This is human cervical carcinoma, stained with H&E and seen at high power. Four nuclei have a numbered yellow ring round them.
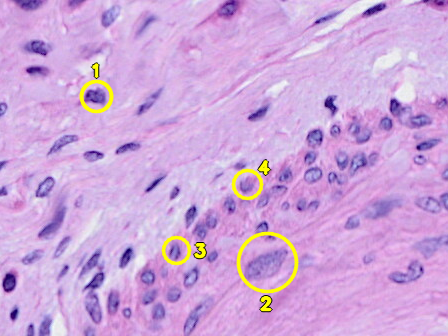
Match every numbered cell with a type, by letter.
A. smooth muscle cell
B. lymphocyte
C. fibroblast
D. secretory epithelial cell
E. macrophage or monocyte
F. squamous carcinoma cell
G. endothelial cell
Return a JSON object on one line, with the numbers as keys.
{"1": "C", "2": "A", "3": "A", "4": "A"}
